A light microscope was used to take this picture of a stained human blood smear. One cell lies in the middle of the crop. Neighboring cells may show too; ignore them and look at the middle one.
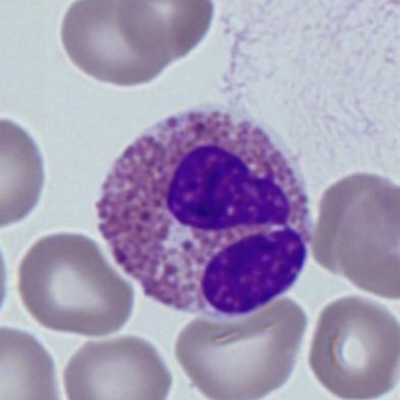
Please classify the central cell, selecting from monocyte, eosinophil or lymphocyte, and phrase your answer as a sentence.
The crop centres on a single cell, and that cell is an eosinophil.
